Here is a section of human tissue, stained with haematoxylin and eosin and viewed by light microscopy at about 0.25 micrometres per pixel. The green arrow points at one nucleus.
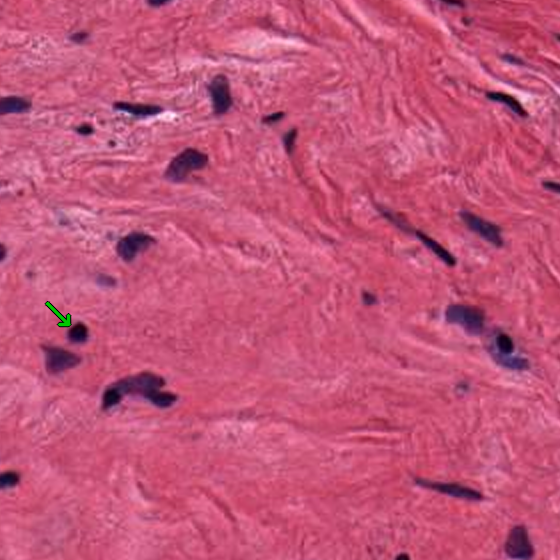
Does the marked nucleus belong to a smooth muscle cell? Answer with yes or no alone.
no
